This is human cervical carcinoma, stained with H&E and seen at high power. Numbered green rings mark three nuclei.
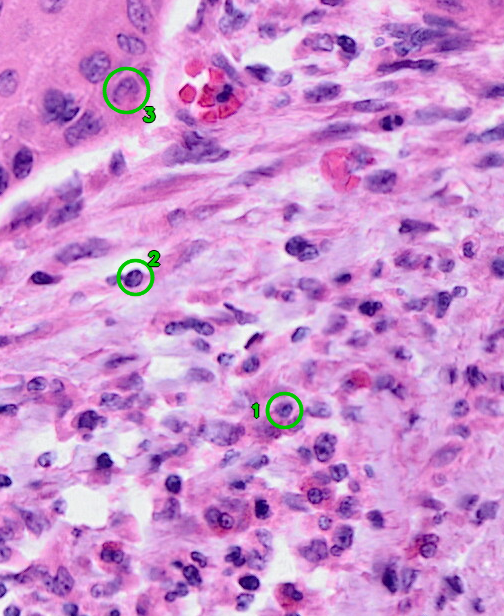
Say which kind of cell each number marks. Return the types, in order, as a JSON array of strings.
["lymphocyte", "lymphocyte", "squamous carcinoma cell"]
